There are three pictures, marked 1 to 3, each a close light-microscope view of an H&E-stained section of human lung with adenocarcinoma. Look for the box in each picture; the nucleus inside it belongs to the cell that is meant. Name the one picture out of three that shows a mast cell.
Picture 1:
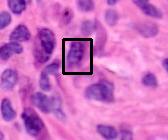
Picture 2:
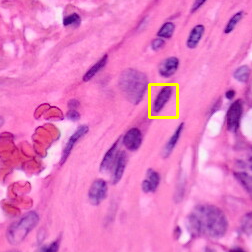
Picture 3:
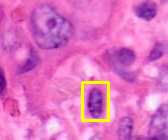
3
